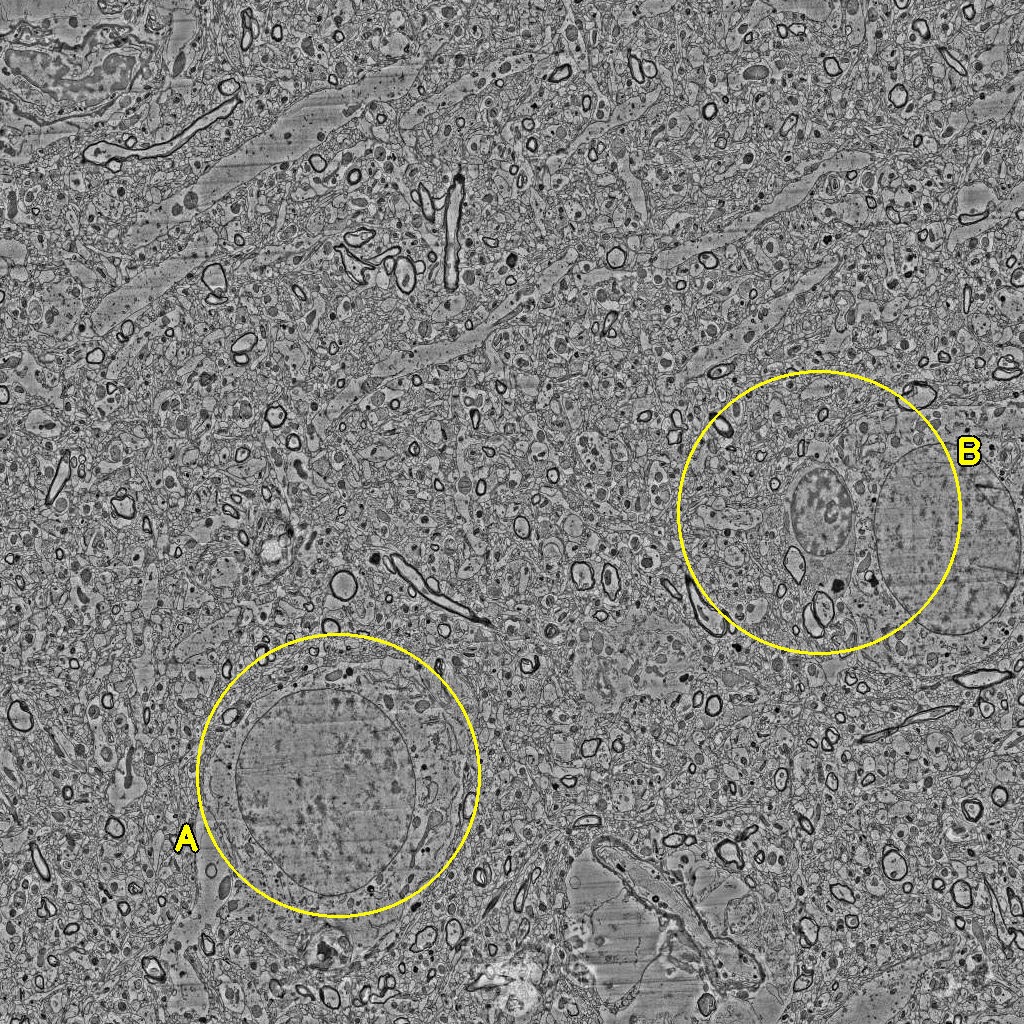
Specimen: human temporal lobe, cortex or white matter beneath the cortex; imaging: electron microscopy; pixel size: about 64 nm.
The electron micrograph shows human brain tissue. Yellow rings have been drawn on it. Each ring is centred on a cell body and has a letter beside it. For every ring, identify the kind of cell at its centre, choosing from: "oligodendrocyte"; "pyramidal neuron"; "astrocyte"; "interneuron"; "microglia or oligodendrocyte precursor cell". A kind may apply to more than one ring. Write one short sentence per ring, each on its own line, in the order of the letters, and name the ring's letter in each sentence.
Ring A is centred on a pyramidal neuron.
Ring B is centred on an oligodendrocyte.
